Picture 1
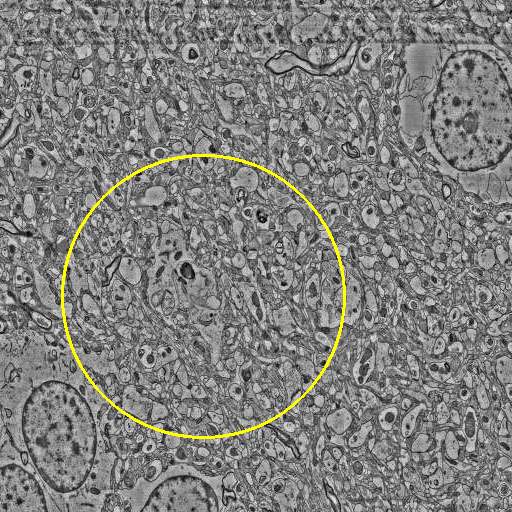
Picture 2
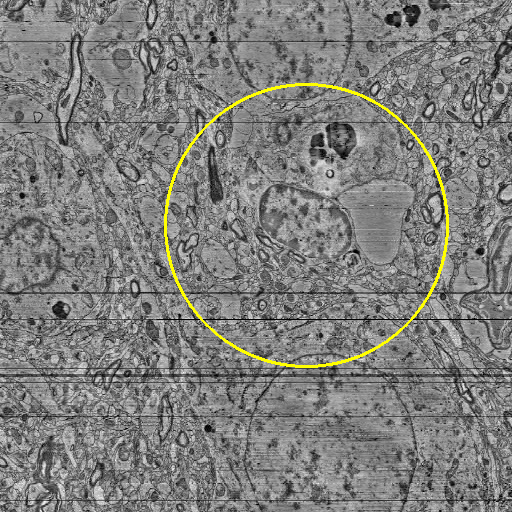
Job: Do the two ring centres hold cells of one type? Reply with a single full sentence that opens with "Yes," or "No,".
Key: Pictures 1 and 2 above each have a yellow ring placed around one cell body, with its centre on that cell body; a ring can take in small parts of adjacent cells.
Yes, the cells at the two ring centres are of one single type.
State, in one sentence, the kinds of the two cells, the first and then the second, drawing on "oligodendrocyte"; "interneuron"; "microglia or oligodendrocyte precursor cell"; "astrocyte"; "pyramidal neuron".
Each cell, in the first picture and the second, is a microglial cell or oligodendrocyte precursor cell.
